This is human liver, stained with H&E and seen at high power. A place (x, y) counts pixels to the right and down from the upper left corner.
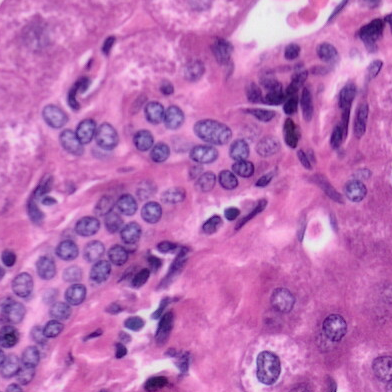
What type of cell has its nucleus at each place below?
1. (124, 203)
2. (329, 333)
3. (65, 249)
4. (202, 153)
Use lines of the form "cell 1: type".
cell 1: cholangiocyte
cell 2: hepatocyte
cell 3: cholangiocyte
cell 4: cholangiocyte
